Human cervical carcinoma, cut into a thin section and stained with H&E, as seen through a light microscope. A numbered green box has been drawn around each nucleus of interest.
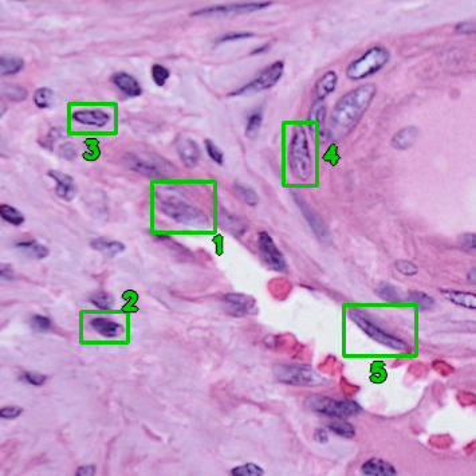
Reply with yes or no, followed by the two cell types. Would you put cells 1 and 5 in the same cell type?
Yes, as for cells 1 and 5, both are endothelial cells.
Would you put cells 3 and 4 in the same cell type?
No, cell 3 is a lymphocyte; as for cell 4, that one is a smooth muscle cell.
